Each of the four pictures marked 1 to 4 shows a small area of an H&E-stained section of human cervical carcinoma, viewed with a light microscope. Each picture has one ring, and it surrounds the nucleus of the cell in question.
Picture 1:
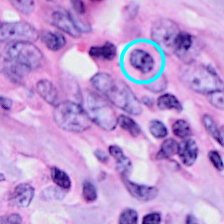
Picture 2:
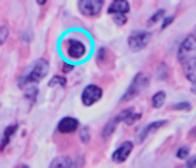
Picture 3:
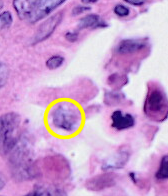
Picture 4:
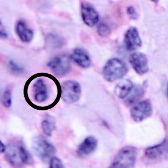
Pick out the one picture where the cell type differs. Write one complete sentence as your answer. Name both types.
The others show lymphocytes, but picture 3 shows a “macrophage or monocyte”.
